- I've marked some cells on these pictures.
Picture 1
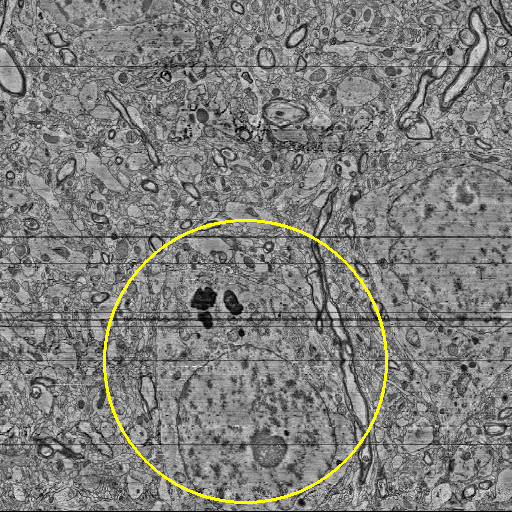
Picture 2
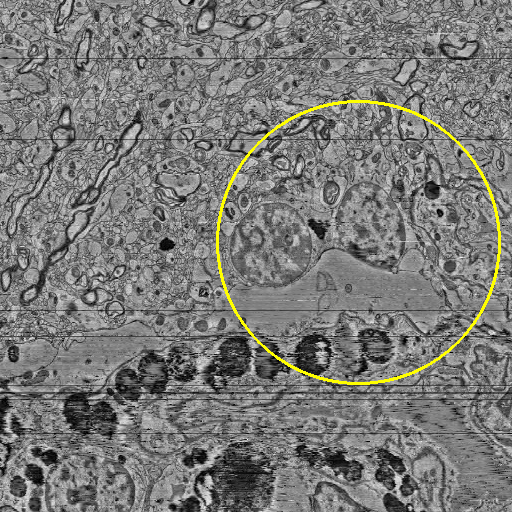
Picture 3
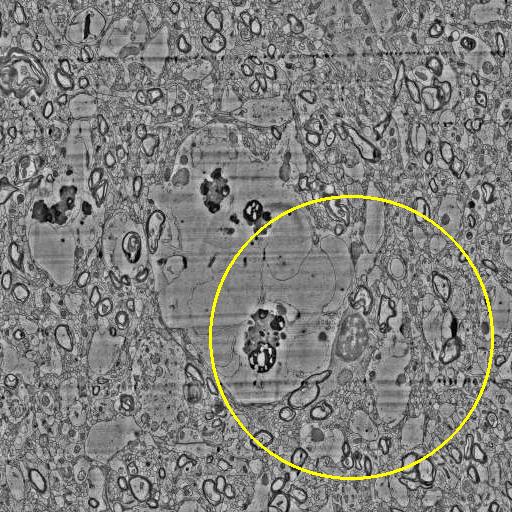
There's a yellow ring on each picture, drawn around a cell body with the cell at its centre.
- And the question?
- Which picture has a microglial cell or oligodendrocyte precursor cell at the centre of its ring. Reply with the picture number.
2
